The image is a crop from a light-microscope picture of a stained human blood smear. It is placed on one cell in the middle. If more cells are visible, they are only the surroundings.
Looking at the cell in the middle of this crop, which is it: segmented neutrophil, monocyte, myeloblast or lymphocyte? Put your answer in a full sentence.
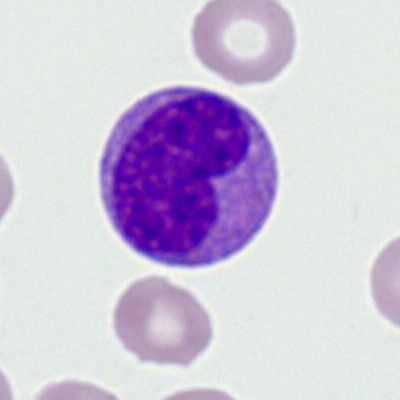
The cell featured at the centre of this crop is a monocyte.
